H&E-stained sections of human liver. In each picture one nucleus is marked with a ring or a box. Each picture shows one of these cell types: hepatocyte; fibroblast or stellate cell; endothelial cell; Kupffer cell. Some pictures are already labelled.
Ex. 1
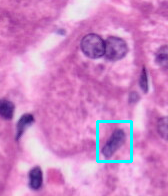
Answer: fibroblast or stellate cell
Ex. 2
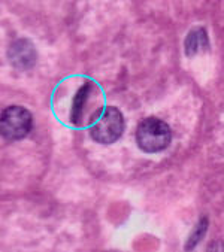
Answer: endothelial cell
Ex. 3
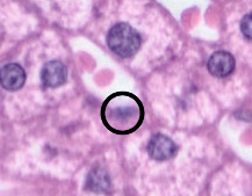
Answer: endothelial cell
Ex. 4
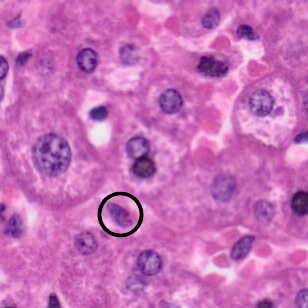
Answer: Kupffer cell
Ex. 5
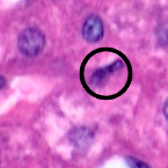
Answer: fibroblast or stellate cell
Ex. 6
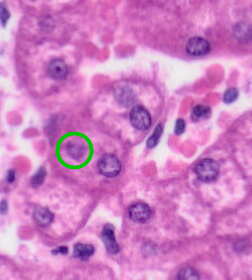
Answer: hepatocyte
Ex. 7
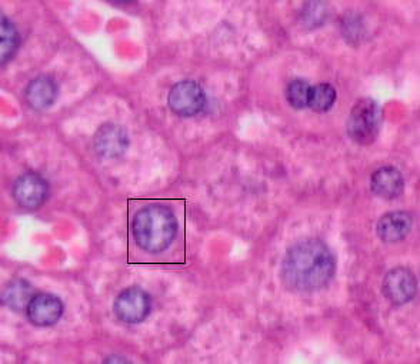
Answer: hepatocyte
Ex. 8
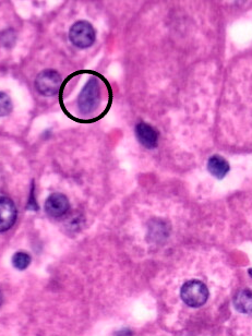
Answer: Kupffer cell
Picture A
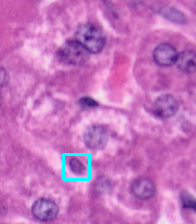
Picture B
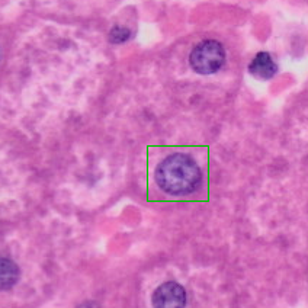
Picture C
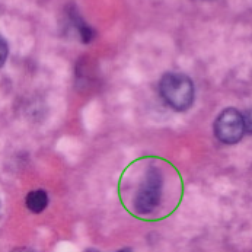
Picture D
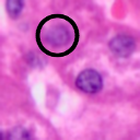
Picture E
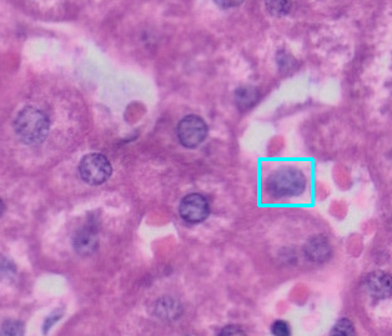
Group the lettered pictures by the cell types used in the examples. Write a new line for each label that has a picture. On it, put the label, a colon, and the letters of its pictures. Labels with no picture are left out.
hepatocyte: B, D
fibroblast or stellate cell: C
endothelial cell: E
Kupffer cell: A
